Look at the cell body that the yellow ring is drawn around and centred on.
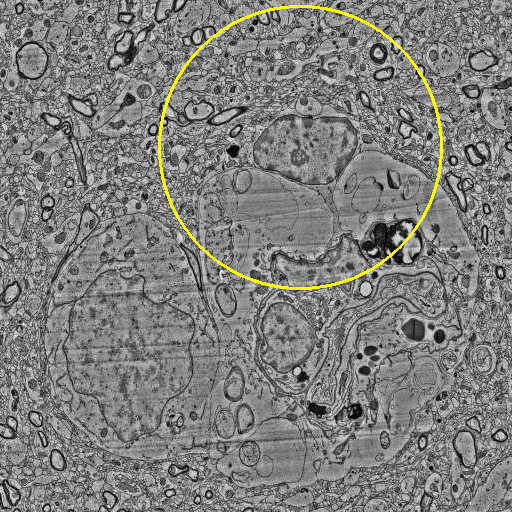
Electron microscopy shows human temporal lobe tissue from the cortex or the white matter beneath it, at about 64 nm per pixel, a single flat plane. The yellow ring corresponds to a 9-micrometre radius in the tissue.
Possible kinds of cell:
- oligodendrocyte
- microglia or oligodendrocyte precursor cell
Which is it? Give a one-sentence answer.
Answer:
The centred cell body is that of a microglial cell or oligodendrocyte precursor cell.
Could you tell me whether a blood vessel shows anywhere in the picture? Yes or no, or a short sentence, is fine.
Yes.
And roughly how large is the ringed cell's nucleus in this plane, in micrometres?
The ringed cell's nucleus measures approximately 7 by 5 micrometres in this plane.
